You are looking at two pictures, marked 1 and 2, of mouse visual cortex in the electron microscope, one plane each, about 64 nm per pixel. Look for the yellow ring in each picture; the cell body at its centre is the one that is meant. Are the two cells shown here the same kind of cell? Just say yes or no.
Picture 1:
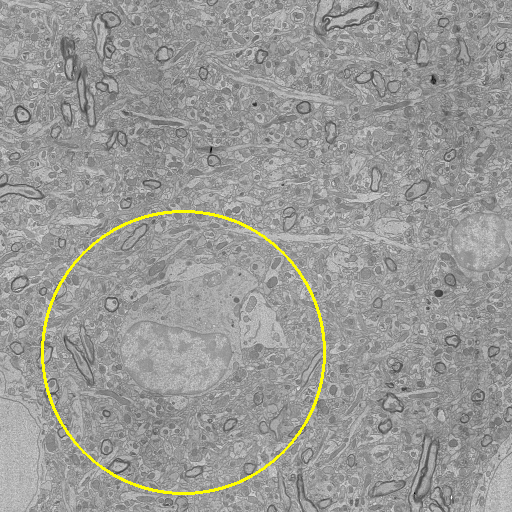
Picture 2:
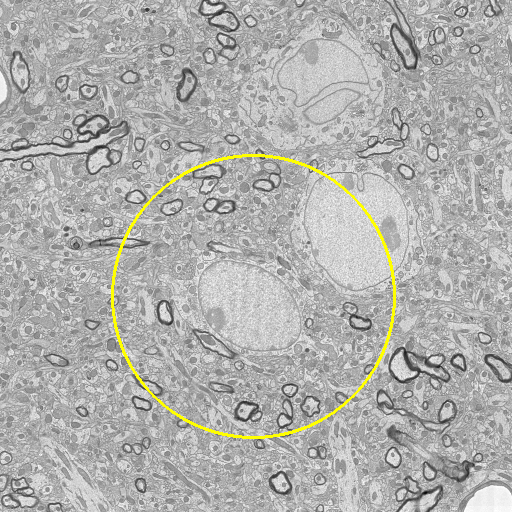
no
